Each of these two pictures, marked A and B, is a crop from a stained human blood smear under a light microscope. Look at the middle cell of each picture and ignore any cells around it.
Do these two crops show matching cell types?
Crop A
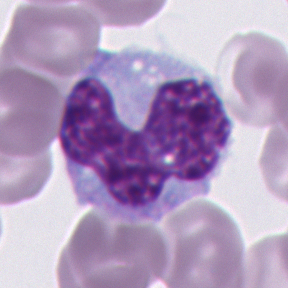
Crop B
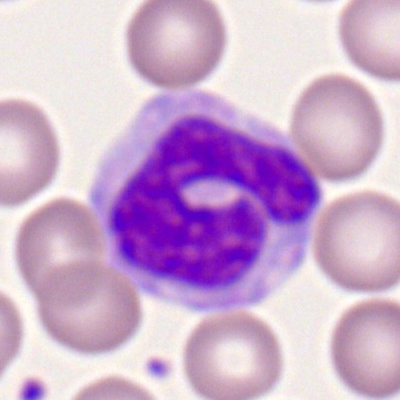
yes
